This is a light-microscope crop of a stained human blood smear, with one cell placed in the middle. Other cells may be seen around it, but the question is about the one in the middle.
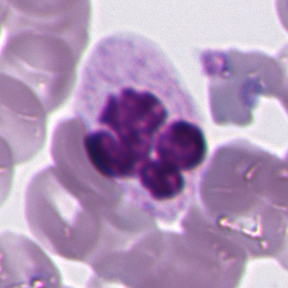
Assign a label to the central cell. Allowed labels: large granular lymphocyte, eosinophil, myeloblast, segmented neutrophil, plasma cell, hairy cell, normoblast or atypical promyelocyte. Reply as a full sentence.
Here the cell in the middle is a segmented neutrophil.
